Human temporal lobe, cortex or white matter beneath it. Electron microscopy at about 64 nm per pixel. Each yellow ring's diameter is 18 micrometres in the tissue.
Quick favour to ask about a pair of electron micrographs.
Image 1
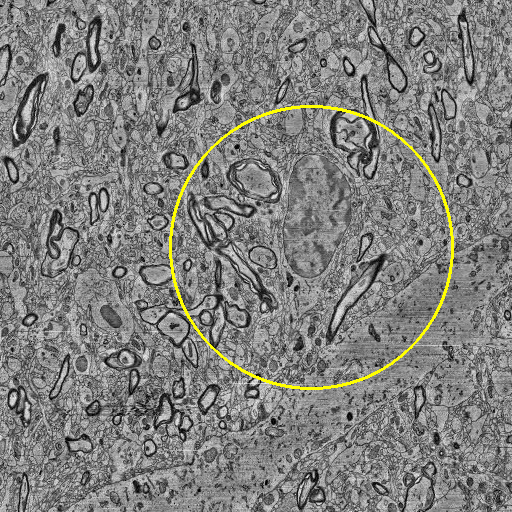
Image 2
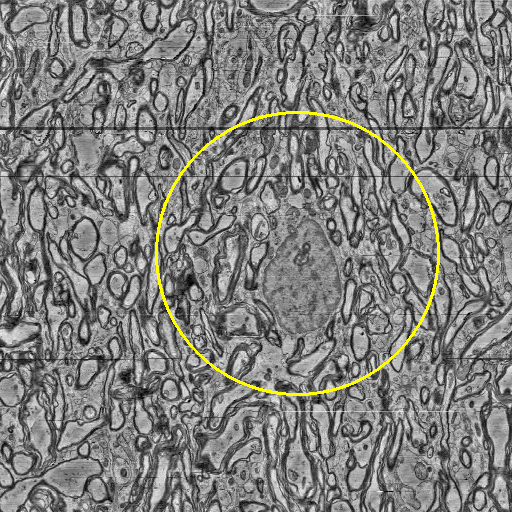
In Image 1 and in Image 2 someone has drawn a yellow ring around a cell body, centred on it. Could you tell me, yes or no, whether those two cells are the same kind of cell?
no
